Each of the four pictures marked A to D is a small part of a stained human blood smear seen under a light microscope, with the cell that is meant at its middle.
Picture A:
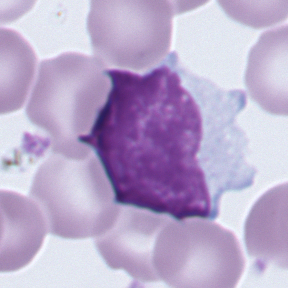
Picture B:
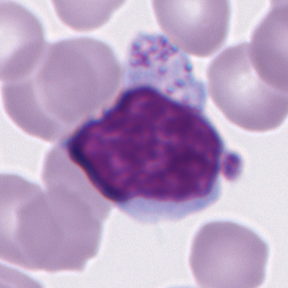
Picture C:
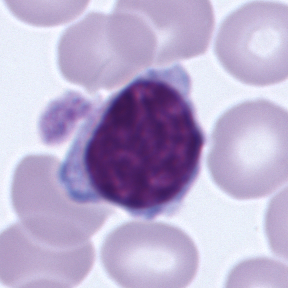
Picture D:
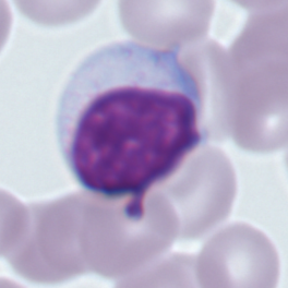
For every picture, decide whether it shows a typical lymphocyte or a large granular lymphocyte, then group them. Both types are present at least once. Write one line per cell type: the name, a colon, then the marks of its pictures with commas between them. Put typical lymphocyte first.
typical lymphocyte: A, C
large granular lymphocyte: B, D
